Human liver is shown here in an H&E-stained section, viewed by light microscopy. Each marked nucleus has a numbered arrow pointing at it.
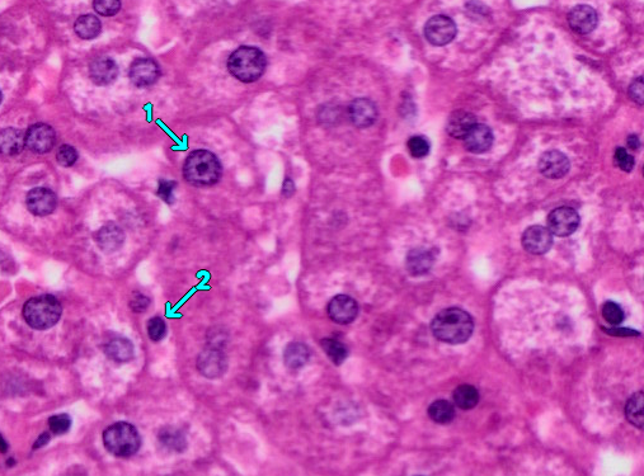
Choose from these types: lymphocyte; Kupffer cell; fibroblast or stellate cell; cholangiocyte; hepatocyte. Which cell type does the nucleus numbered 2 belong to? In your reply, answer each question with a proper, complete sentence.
The cell referred to as 2 is a lymphocyte.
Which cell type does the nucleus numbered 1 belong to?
Here the cell numbered 1 is a hepatocyte.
